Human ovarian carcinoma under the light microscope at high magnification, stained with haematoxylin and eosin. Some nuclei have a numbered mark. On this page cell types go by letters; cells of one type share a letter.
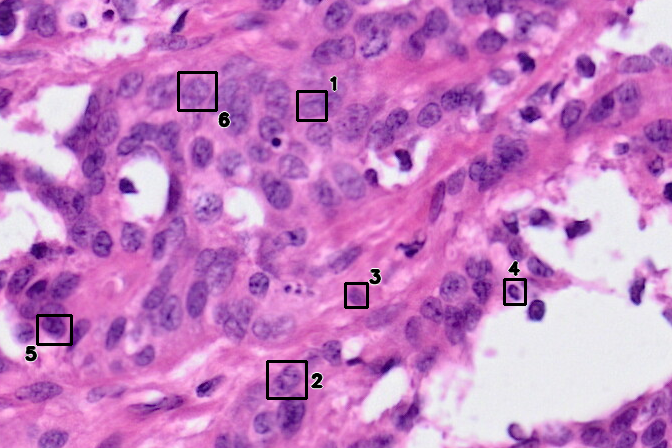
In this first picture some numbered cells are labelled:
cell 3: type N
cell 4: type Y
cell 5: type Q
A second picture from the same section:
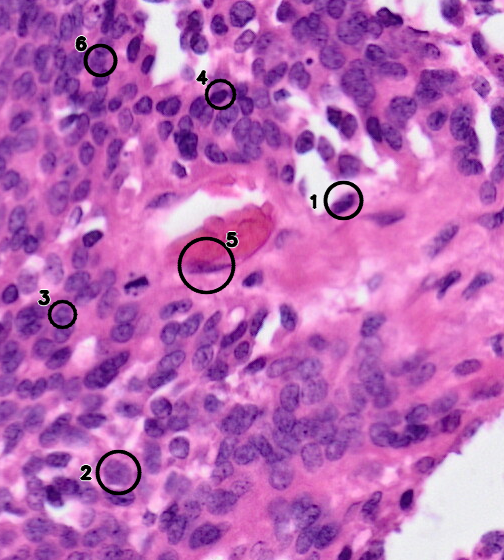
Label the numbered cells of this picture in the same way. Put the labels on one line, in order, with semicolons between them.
type Y; type Q; type Q; type Q; type N; type Q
